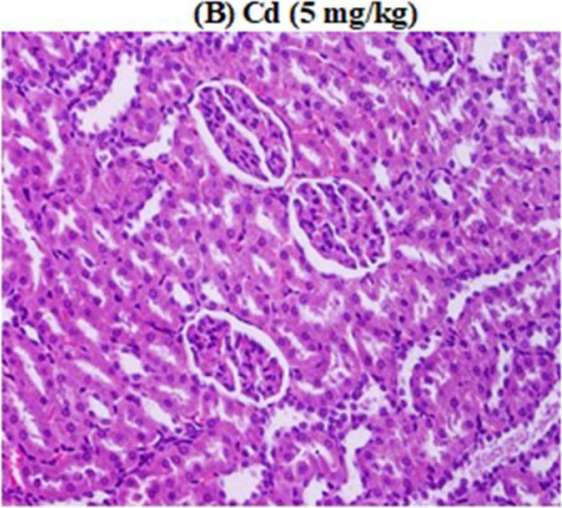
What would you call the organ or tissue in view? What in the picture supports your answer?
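Renal. Several round glomerular tufts lie within thin capsules. Tubules lined by pink cuboidal epithelium with round nuclei surround them.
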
